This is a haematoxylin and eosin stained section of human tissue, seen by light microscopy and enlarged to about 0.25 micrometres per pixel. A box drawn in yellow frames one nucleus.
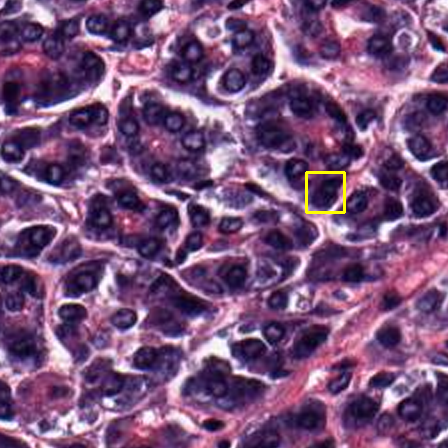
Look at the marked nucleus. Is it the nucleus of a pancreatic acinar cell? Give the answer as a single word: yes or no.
yes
